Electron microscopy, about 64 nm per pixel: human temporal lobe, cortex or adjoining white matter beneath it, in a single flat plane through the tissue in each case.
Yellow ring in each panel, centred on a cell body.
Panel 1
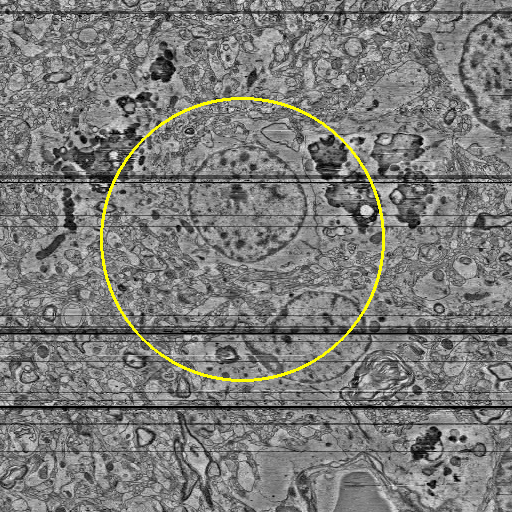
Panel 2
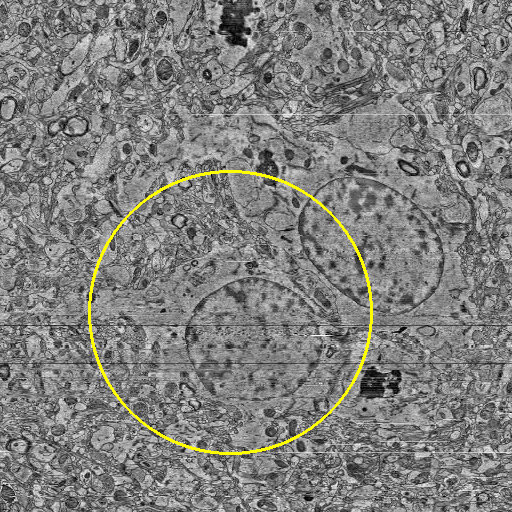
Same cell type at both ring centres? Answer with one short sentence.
Yes, both cells are of the same type.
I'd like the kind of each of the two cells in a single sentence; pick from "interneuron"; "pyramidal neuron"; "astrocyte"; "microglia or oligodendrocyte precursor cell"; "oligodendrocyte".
Each cell at the centre of a ring is an astrocyte.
